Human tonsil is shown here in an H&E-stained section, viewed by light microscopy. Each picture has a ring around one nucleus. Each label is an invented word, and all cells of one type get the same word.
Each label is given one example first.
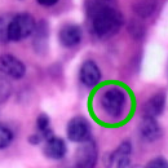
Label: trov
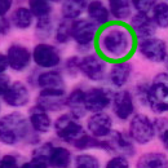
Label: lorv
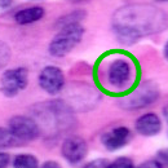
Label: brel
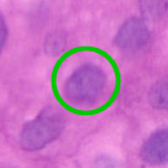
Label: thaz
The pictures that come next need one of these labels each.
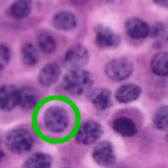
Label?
trov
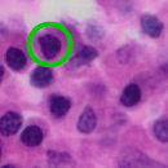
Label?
trov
